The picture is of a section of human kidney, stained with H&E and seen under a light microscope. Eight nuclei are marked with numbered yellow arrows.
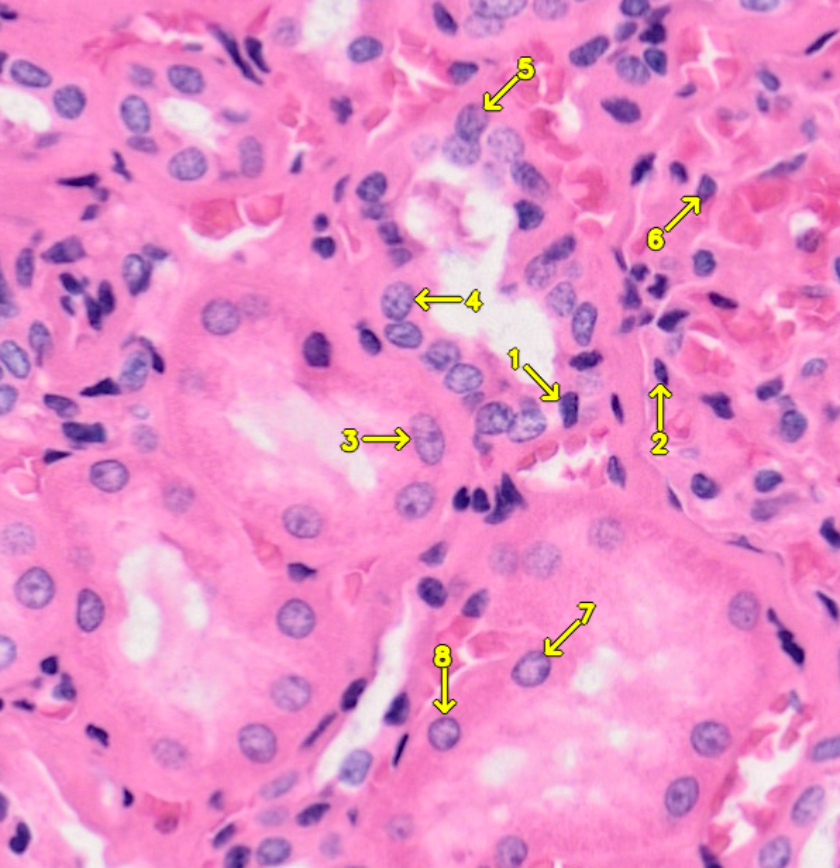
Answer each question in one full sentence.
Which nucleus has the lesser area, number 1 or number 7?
It is nucleus 1; nucleus 7 has about 1.5 times its area.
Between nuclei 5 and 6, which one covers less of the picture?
Number 6 is smaller, since number 5 takes up about 2 times as much area.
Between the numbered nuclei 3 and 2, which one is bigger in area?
It is nucleus 3, which covers about 4 times the area of nucleus 2.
